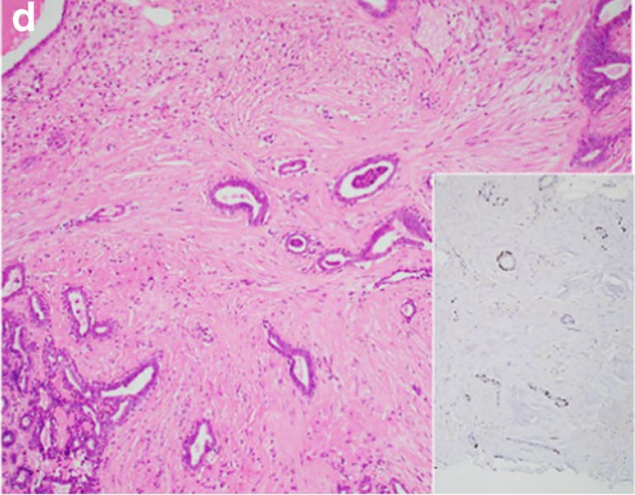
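At higher power, small benign glands lie scattered in a pale pink fibrous stroma containing elongated spindle-shaped nuclei. In the inset, brown nuclear staining picks out the outer cell layer of the trapped glands against a pale blue background.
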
